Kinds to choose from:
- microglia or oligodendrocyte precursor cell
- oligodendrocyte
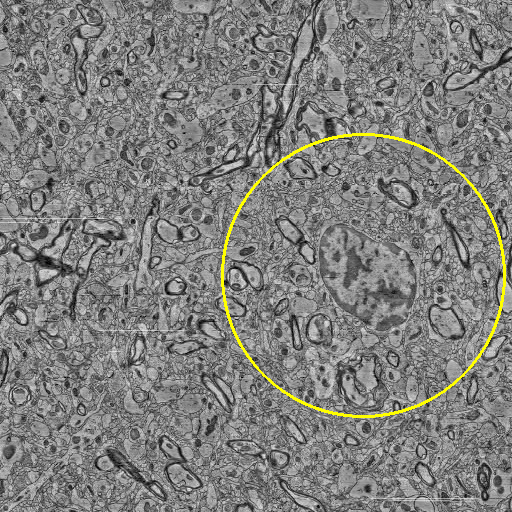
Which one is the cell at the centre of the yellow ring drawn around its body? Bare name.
microglia or oligodendrocyte precursor cell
